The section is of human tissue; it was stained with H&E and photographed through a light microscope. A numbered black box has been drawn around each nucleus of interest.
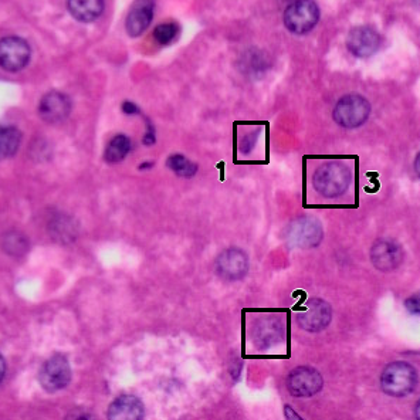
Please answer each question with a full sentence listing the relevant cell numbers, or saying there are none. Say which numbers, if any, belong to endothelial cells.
Only the cell with the number 1 is an endothelial cell.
